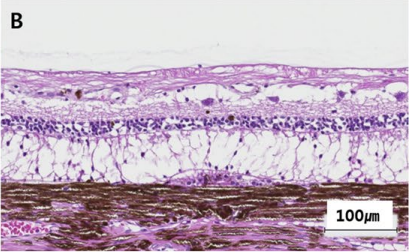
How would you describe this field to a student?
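This retinal section shows a pink fibrillar inner zone, a single loose band of purple nuclei, and then a broad pale zone of empty vacuolated spaces with few nuclei. This vacuolated zone sits directly on a thick dark brown pigmented layer. The dense outer band of nuclei and the striated outer layer seen in a normal retina are missing, indicating loss of the photoreceptor layer.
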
